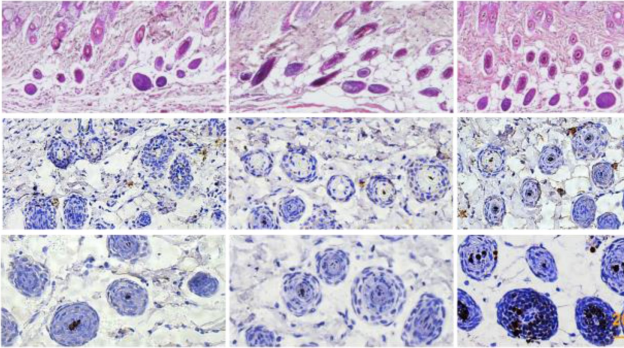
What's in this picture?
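A grid of skin sections shows many round and oval profiles scattered through pale, loose dermal connective tissue. In the upper row, stained pink and purple, the profiles are elongated or round with dense purple centres, like hair follicles cut at different angles. In the lower rows, with blue counterstain, the round profiles are made of concentric rings of blue nuclei around a central core, and small brown deposits lie between them and in some of their cells.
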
